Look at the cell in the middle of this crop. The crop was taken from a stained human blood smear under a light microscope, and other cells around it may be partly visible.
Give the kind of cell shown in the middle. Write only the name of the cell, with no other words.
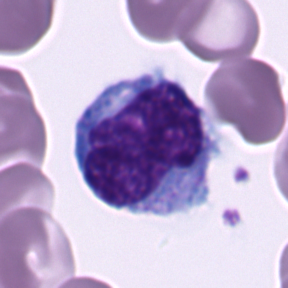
monocyte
